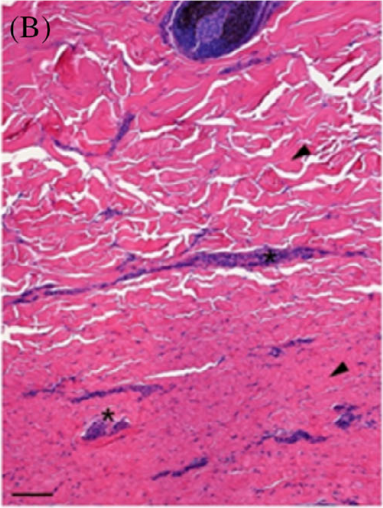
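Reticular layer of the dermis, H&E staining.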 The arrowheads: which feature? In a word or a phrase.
thick bundles of collagen fibers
